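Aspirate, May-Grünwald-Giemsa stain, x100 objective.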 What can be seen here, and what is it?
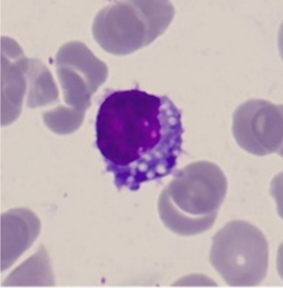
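A single plasma cell lies among pale pink-lilac red blood cells in a bone marrow smear. Its round nucleus is dark purple with coarse, clumped chromatin and sits toward one side of the cell. The opposite side of the cell is bluish cytoplasm packed with numerous small, clear, round vacuoles, giving it a bubbly look.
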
